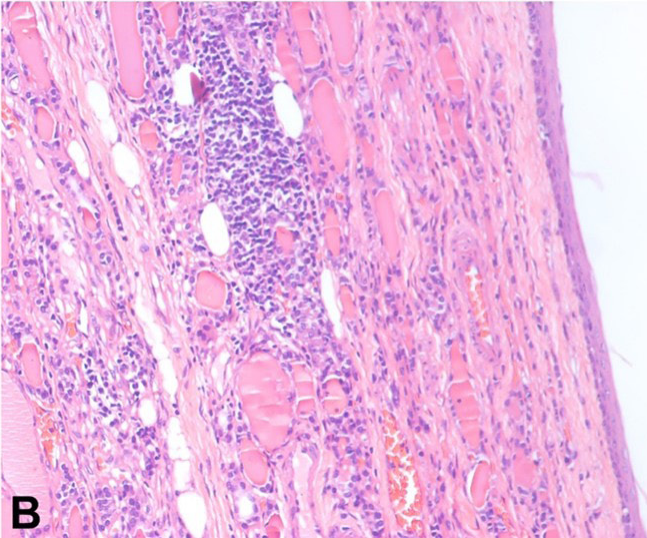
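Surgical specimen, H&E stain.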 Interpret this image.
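Thyroid tissue next to a cyst wall, with a dense collection of lymphocytes forming a lymphoid aggregate. Along the right edge runs a thin stratified epithelial lining over pink fibrous tissue. To its left, thyroid follicles appear as elongated and rounded spaces filled with bright pink colloid, many compressed and aligned in parallel. In the centre, small round cells with dark purple nuclei and very little cytoplasm are packed closely together, and more of them are scattered between the follicles. A few empty clear spaces and small vessels containing red blood cells lie within the fibrous stroma.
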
